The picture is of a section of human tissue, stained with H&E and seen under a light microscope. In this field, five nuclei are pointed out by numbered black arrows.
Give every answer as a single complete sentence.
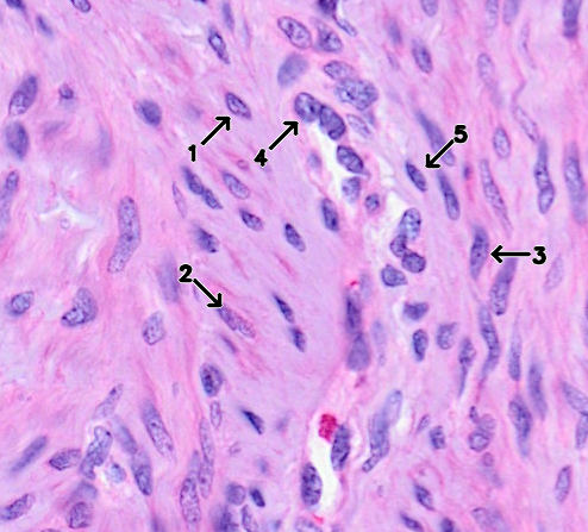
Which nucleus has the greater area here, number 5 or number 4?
Nucleus 4 is the larger one, covering about 2 times the area of nucleus 5.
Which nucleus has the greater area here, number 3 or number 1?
At about 1.5 times the area of nucleus 1, nucleus 3 is the larger of the two.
